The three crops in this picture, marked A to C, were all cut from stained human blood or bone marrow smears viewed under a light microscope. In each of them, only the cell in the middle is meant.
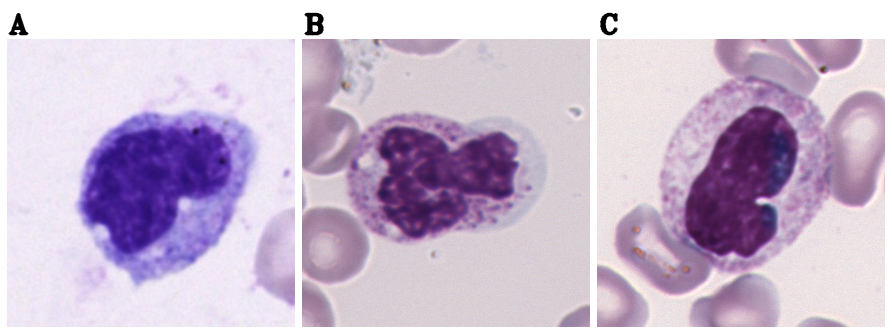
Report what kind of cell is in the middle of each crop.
A: monocyte
B: segmented neutrophil
C: band neutrophil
